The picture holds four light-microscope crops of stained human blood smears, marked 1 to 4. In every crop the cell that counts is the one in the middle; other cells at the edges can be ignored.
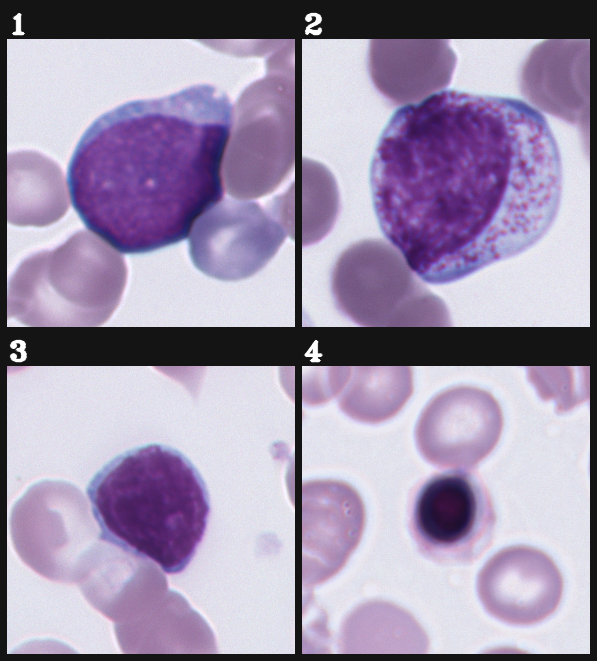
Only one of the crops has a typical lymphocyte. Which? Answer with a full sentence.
Crop 3 is the one in the set with a typical lymphocyte at the center.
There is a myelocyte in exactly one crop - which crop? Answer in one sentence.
Among these crops, crop 2 holds a myelocyte.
